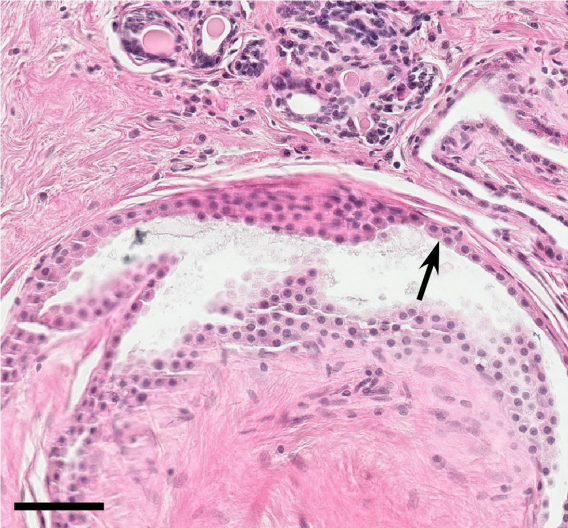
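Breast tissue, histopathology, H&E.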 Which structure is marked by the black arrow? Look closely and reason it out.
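Distinct border. The arrow sits at the outer edge of a curved layer of epithelium lining a space. A thin band of stroma separates this layer from surrounding ducts and connective tissue.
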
